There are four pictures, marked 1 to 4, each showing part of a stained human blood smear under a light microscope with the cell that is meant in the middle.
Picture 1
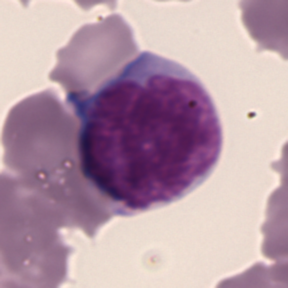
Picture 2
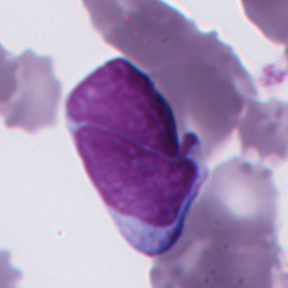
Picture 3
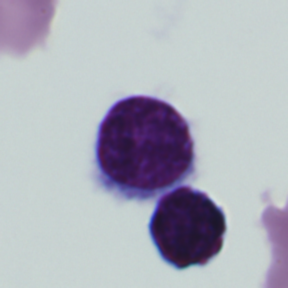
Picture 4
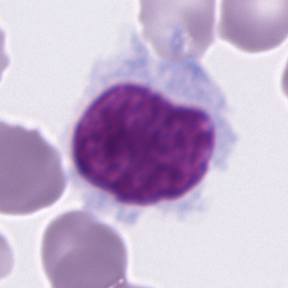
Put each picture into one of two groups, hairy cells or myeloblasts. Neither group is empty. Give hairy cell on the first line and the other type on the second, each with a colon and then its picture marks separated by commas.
hairy cell: 3, 4
myeloblast: 1, 2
